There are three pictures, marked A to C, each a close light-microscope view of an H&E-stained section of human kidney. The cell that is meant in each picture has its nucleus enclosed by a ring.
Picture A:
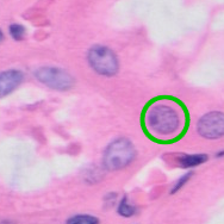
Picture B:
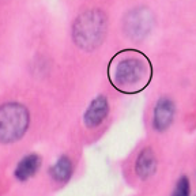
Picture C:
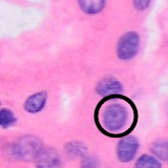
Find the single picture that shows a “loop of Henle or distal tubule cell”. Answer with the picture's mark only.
B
